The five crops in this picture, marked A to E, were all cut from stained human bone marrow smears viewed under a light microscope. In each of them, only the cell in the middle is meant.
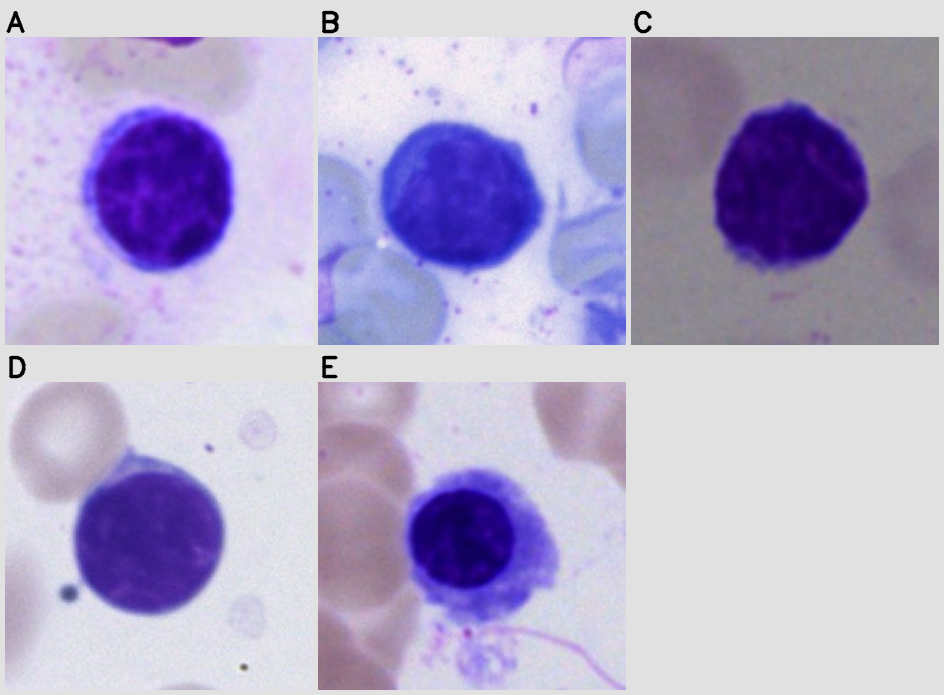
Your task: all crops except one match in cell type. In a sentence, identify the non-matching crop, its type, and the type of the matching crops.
Crop E differs from the others in showing an erythroblast; the rest all show lymphocytes.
